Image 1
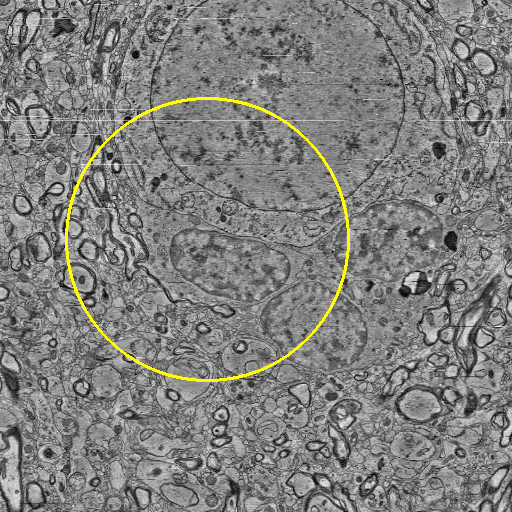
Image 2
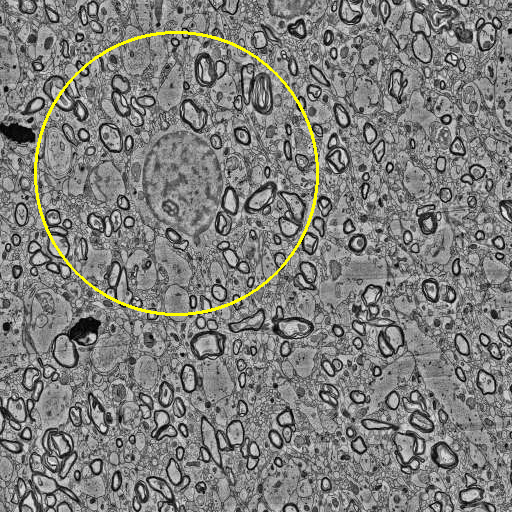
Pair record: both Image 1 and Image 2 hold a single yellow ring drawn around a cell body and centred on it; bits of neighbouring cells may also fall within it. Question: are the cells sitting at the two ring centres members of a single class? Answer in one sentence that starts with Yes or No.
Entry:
Yes, both ring-centre cells in Image 1 and Image 2 are members of one class.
